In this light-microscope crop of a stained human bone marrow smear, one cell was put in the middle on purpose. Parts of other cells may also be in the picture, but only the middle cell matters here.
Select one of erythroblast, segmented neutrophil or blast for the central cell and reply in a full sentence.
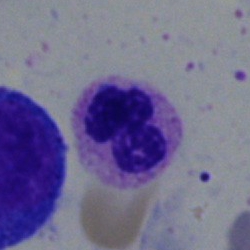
In the center of this field lies a segmented neutrophil.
